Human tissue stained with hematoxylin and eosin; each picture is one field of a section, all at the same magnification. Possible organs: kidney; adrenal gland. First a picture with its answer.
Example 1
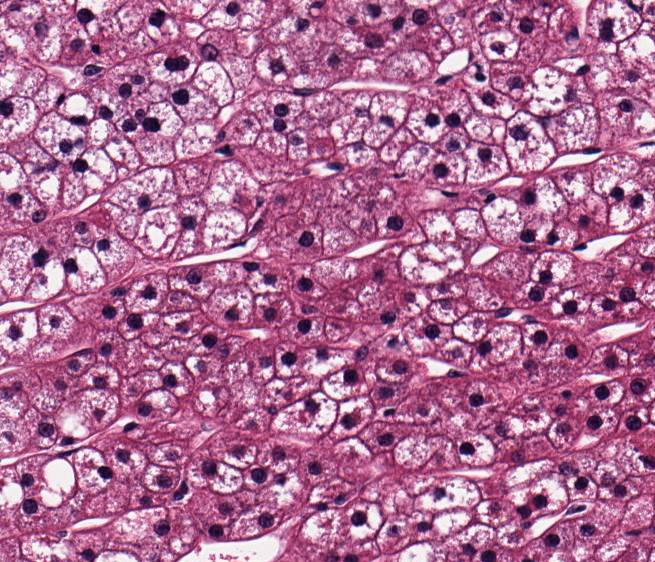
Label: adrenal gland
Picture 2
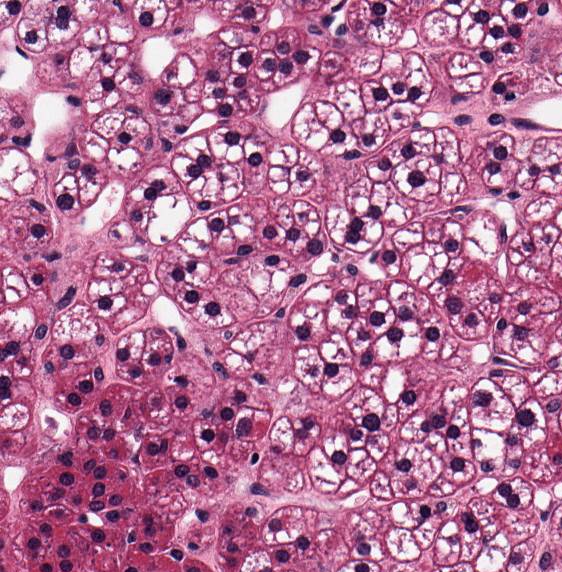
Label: adrenal gland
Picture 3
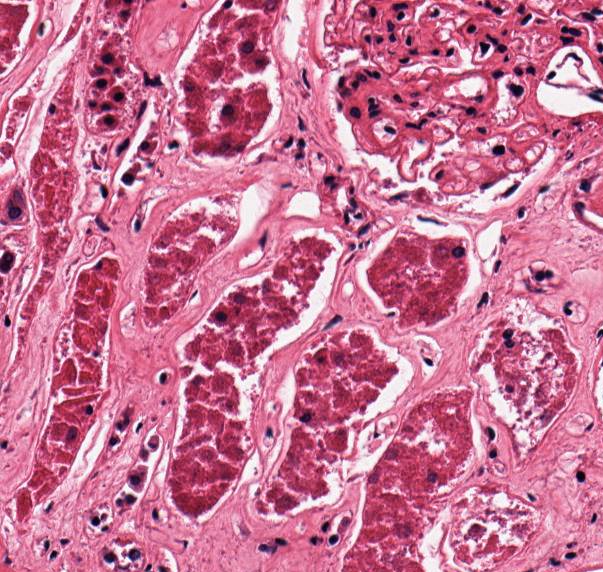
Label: kidney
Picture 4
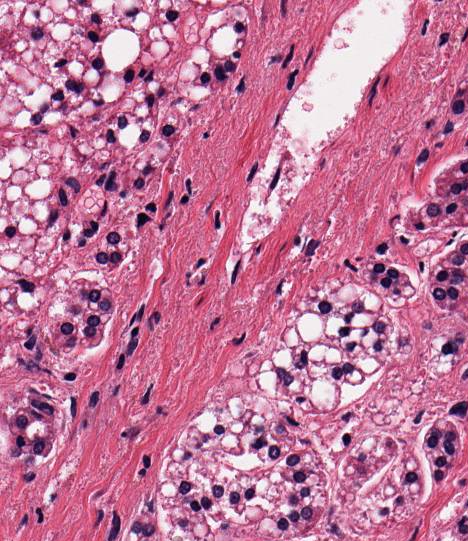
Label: adrenal gland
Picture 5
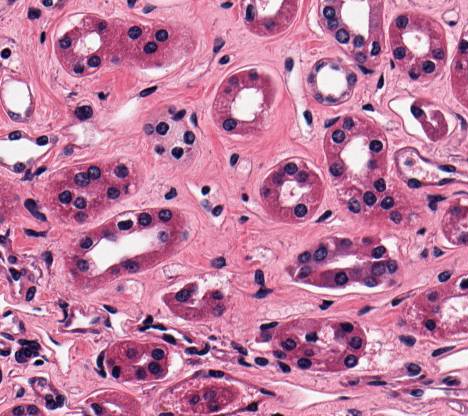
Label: kidney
